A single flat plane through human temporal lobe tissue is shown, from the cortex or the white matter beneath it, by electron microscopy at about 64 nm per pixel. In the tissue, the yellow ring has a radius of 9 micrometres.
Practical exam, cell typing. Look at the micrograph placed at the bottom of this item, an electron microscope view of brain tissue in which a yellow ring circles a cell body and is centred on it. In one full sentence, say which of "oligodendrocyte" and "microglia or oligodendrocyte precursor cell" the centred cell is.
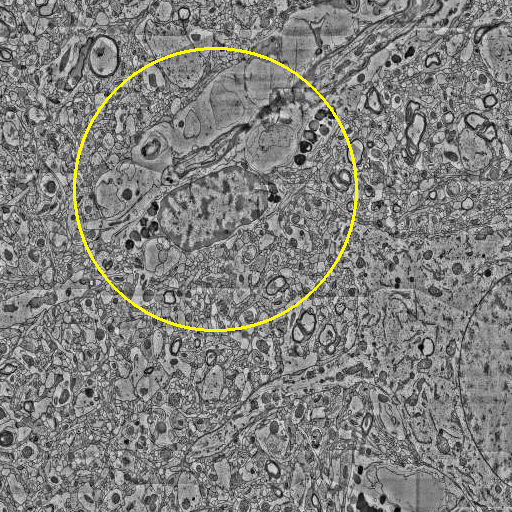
Given the options, a microglial cell or oligodendrocyte precursor cell fits the cell whose body the yellow ring is centred on.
